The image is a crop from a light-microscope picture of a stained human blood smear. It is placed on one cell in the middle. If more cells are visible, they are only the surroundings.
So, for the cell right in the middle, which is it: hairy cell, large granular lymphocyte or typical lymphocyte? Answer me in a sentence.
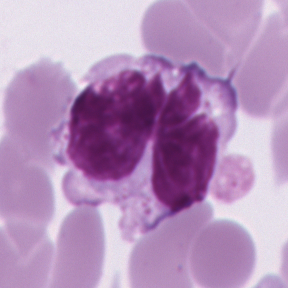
The cell the crop is centered on is a large granular lymphocyte.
